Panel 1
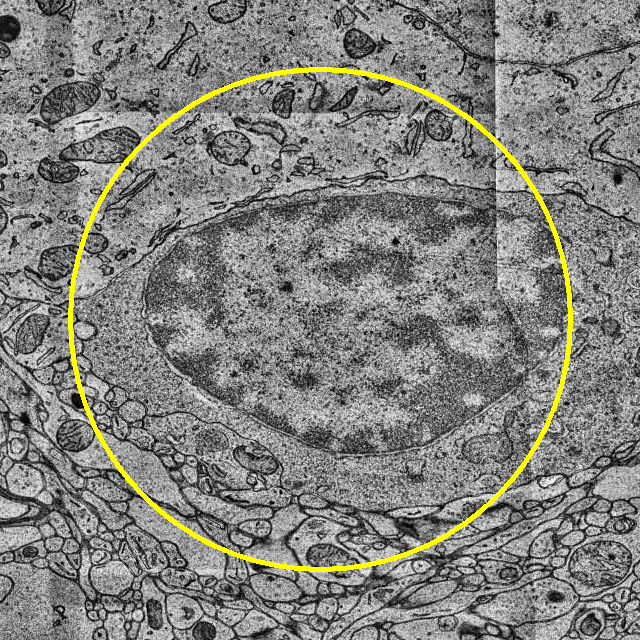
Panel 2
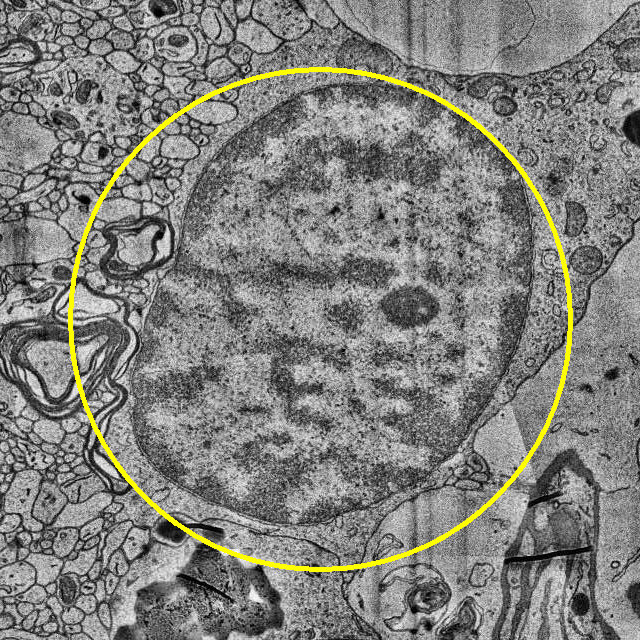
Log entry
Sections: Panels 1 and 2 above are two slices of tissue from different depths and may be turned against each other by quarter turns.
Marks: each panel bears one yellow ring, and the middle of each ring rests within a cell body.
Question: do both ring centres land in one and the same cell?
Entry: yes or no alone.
no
